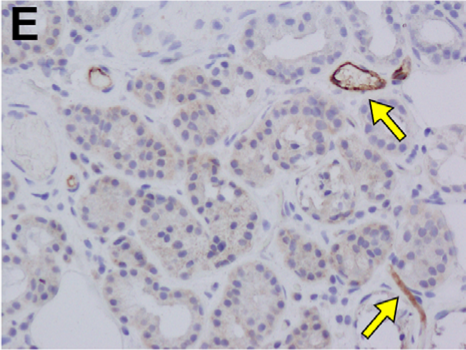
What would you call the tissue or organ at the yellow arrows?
vascular endothelium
